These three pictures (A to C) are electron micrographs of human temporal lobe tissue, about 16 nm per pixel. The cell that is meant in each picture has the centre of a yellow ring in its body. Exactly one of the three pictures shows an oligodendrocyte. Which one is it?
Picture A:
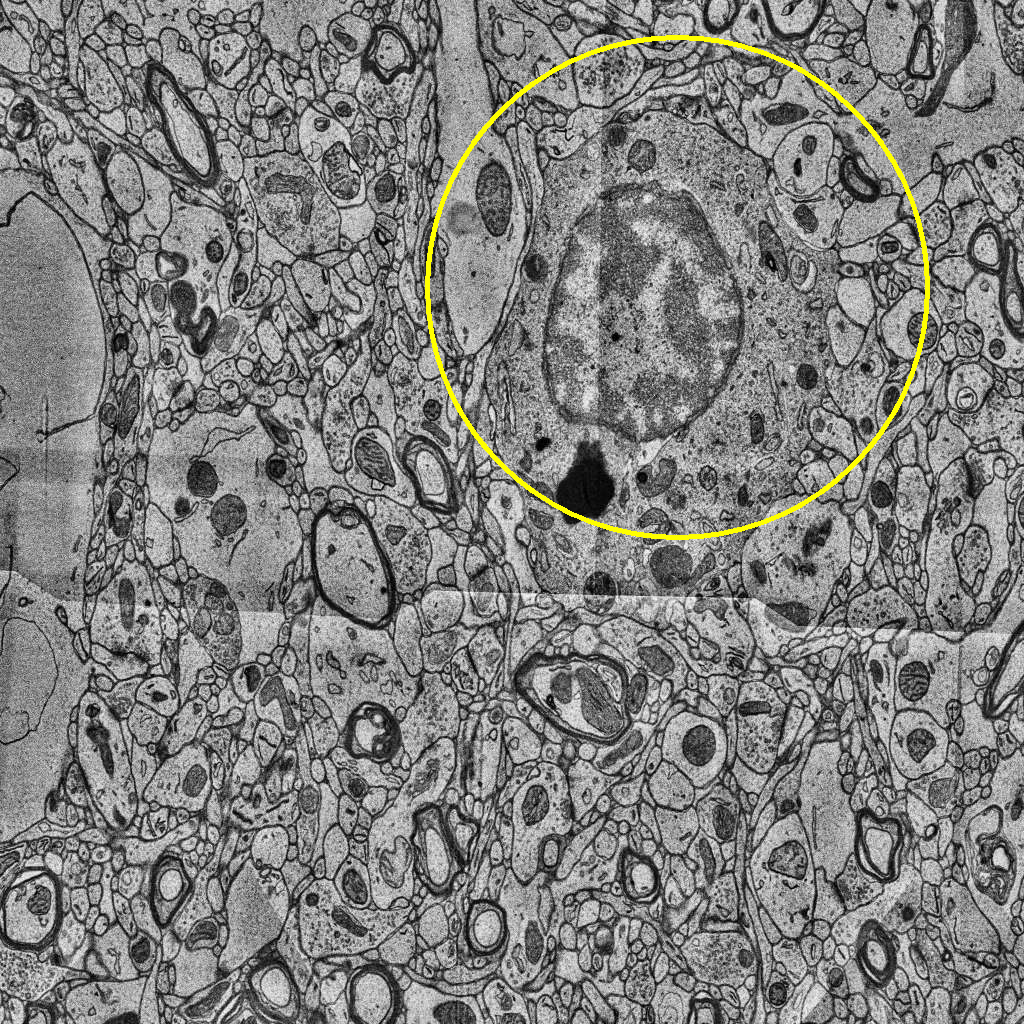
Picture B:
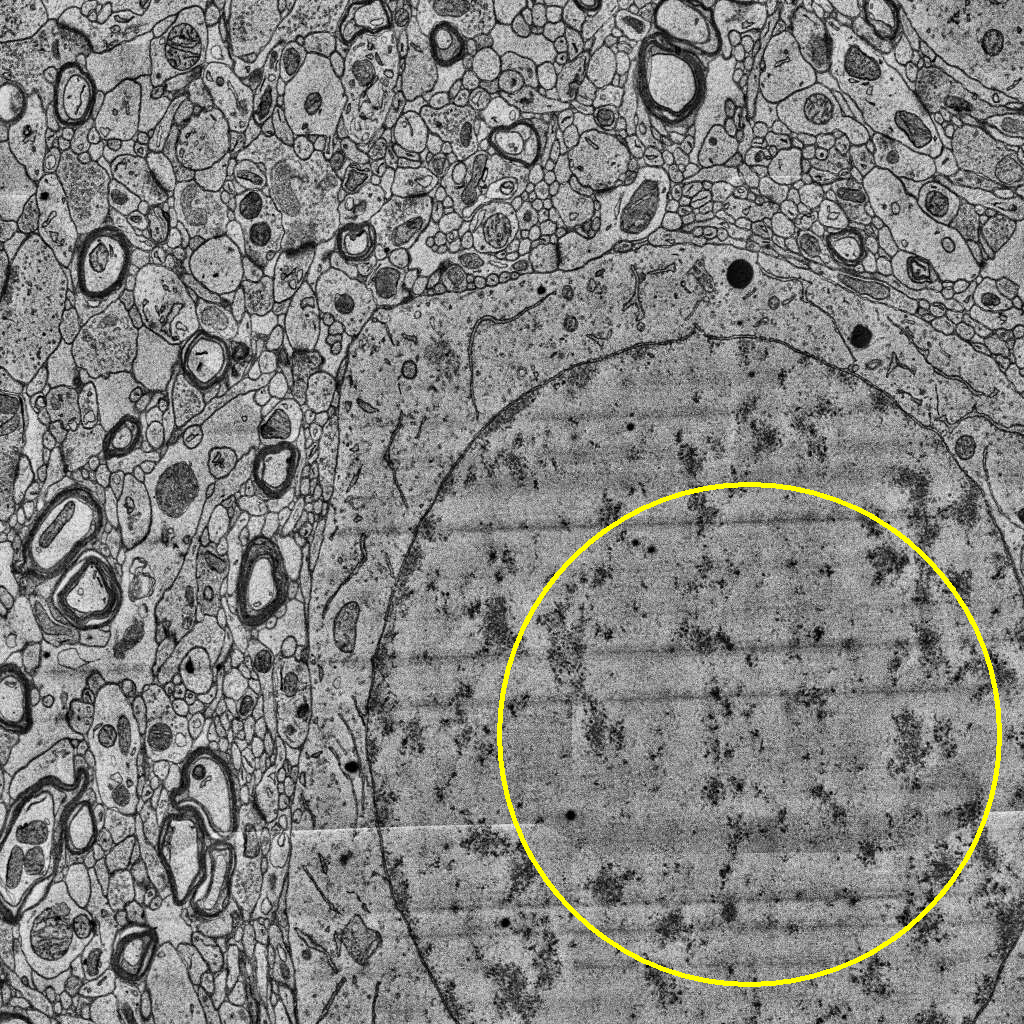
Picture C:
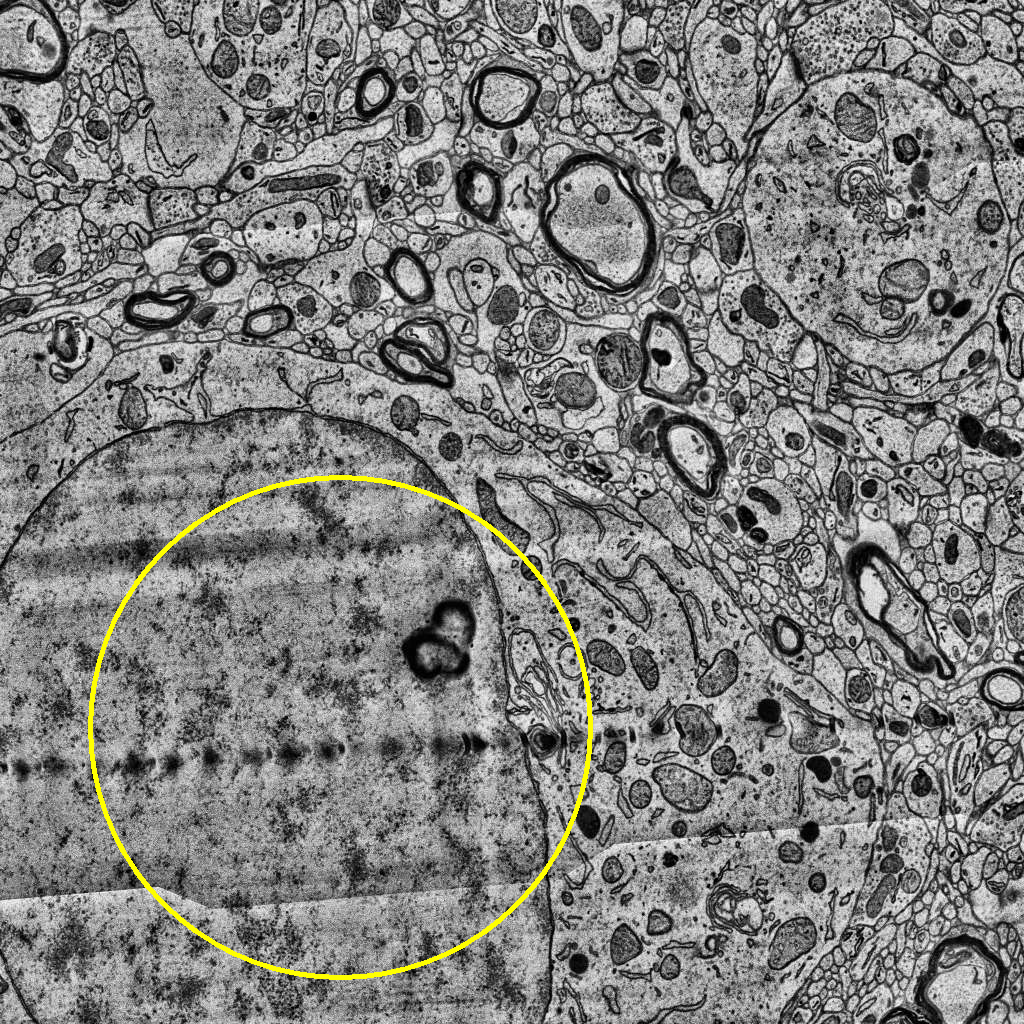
It is picture A that shows the oligodendrocyte.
